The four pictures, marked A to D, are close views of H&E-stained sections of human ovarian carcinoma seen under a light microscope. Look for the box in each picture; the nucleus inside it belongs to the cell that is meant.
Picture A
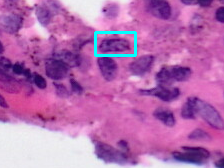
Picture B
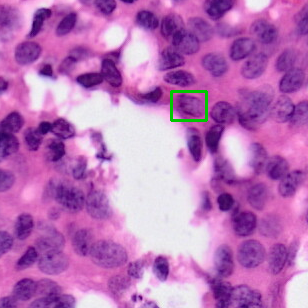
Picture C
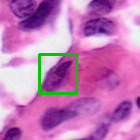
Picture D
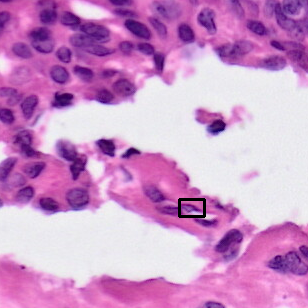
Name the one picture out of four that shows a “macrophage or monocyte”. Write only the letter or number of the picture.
A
